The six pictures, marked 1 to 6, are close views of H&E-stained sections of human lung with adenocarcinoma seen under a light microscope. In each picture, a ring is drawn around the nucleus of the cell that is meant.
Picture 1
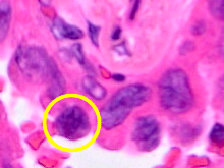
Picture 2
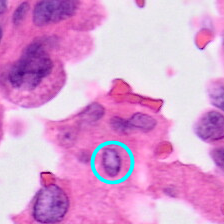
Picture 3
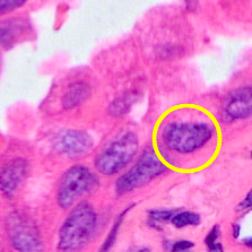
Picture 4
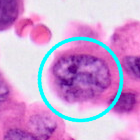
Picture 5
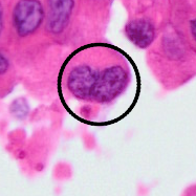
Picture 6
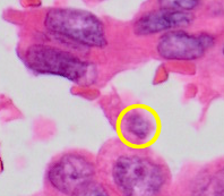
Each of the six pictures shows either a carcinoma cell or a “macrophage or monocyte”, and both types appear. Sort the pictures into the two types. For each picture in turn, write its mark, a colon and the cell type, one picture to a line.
1: carcinoma cell
2: macrophage or monocyte
3: carcinoma cell
4: carcinoma cell
5: carcinoma cell
6: macrophage or monocyte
